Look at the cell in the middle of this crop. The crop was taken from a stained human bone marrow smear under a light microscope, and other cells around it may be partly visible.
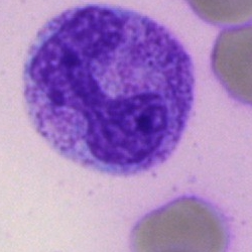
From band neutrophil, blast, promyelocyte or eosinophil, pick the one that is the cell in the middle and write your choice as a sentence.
The cell occupying the middle of the crop is a band neutrophil.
